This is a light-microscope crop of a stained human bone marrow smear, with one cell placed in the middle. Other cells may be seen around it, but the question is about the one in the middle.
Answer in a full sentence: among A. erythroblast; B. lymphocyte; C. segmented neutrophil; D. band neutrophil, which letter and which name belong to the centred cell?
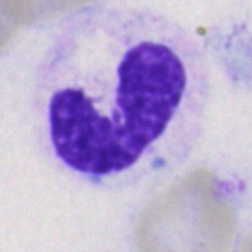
The centered cell is a band neutrophil, which is why option D is right.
